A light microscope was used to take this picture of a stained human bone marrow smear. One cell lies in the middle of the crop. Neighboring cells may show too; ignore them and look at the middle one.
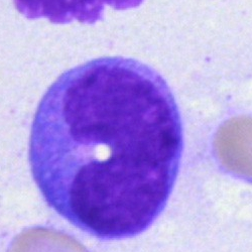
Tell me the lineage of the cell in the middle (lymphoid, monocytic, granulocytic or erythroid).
monocytic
